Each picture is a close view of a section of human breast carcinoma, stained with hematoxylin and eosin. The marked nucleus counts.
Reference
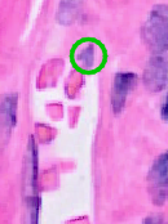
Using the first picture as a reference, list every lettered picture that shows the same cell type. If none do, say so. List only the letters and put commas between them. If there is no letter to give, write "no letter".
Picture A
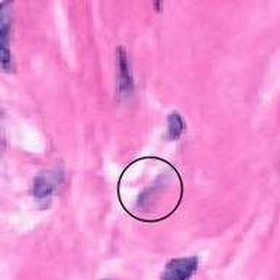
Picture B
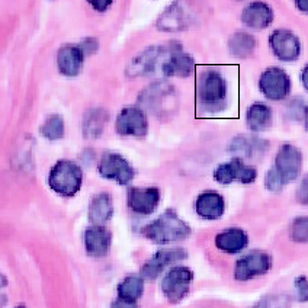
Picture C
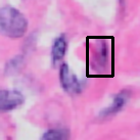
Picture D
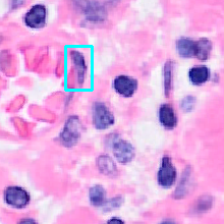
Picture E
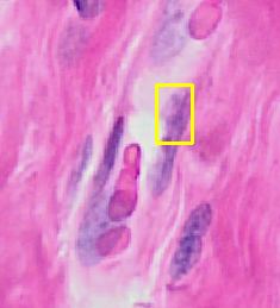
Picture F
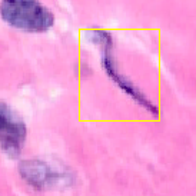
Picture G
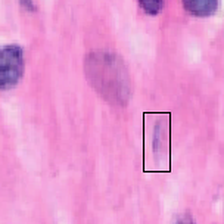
C, D, E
